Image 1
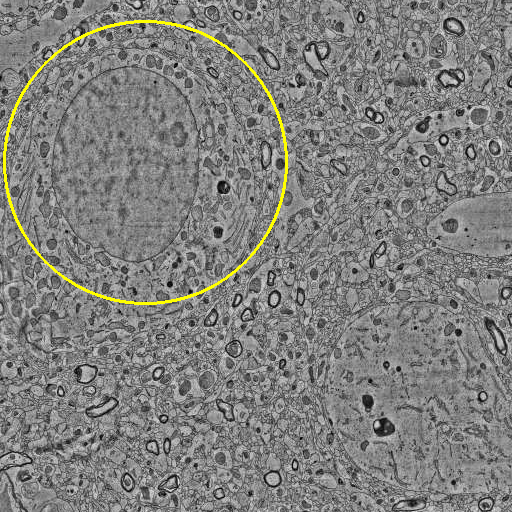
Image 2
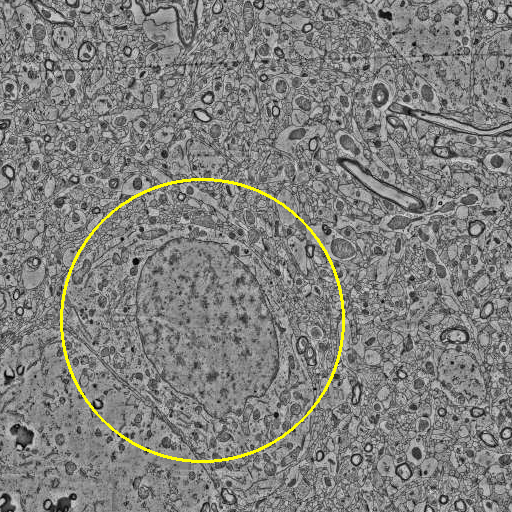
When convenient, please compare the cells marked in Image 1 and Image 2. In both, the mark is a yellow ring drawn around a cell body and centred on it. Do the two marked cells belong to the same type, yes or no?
yes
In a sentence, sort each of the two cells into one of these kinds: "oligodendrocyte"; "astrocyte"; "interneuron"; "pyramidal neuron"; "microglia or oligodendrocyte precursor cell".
Each cell, in the first picture and the second, is an interneuron.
